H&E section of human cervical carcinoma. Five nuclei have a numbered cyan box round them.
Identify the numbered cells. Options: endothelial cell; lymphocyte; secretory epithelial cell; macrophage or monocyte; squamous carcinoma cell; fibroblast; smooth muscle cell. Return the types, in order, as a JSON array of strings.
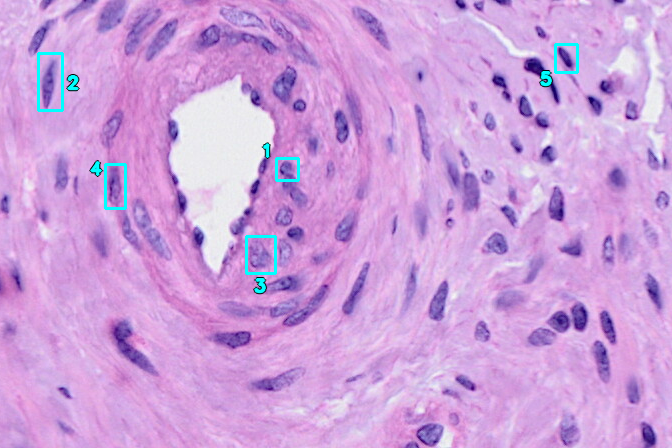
["smooth muscle cell", "fibroblast", "smooth muscle cell", "smooth muscle cell", "fibroblast"]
